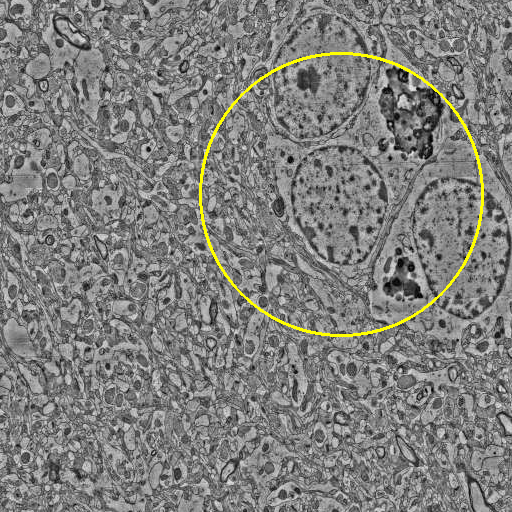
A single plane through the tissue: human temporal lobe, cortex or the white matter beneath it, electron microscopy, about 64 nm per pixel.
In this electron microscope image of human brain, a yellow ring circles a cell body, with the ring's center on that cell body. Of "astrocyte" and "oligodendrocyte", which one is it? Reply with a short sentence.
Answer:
It is an astrocyte at the center of the ring.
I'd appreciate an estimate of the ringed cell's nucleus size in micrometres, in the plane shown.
Roughly 8 by 6 micrometres is the size of the nucleus in this plane.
